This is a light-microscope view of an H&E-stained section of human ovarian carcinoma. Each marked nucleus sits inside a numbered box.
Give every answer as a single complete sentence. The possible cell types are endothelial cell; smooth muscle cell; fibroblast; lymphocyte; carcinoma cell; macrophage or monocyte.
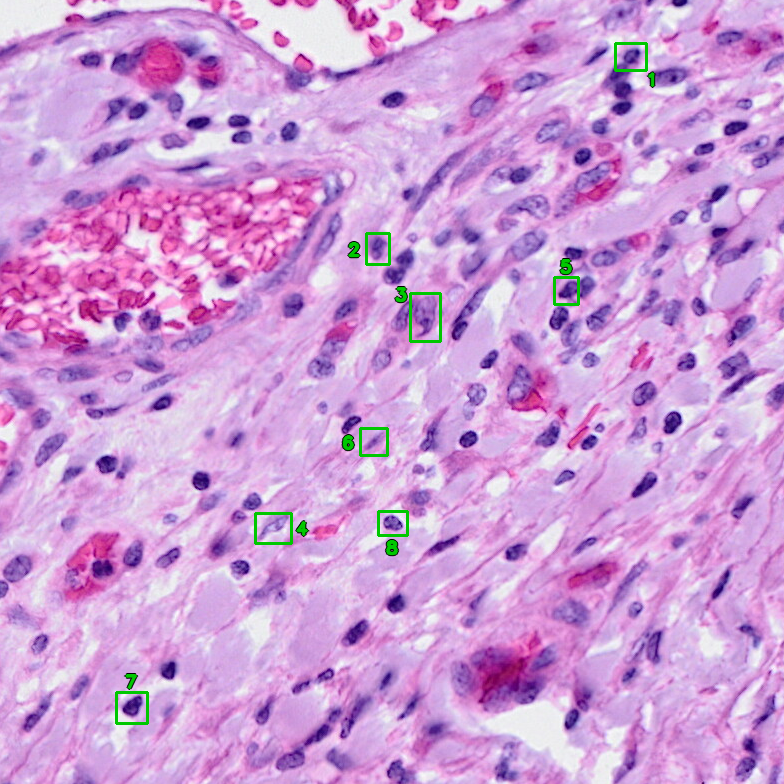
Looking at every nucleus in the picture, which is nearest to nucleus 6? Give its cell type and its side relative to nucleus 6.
Lying above and to the left of nucleus 6, the nearest nucleus is that of a lymphocyte.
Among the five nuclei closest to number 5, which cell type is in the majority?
Lymphocytes make up most of the five nuclei closest to number 5.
